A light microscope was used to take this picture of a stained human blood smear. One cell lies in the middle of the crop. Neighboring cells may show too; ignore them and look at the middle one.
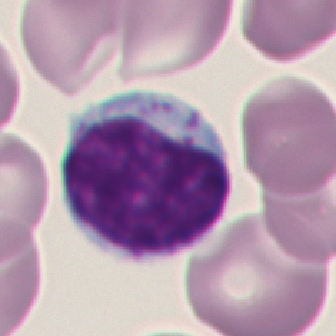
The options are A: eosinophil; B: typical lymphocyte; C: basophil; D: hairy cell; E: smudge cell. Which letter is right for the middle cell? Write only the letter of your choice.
B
